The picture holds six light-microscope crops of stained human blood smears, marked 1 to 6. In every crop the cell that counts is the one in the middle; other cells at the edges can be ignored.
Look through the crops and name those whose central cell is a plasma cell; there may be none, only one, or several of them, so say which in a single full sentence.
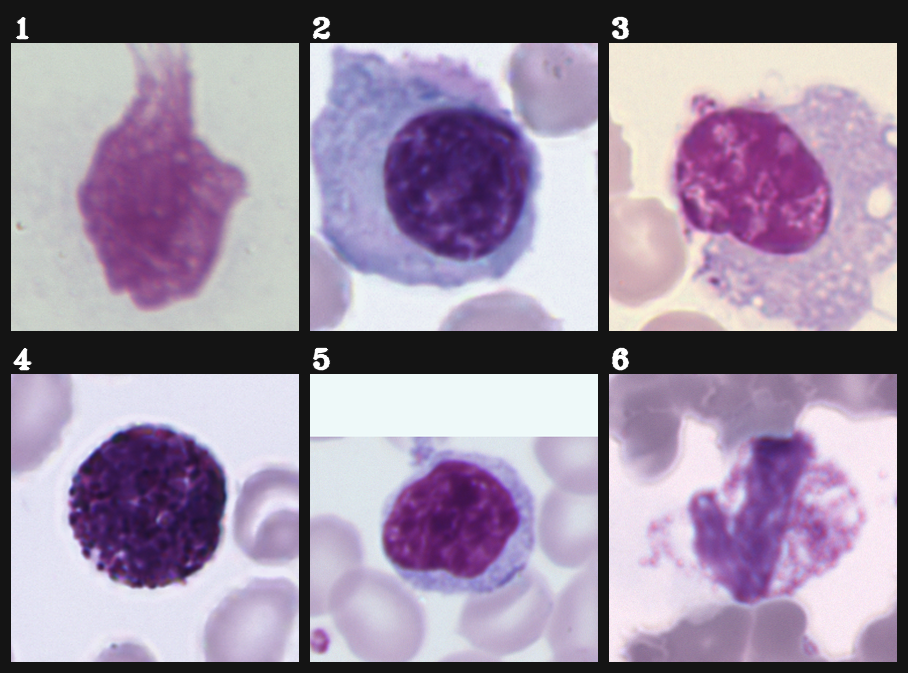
Crops 2 and 3 hold plasma cells in the centre of the field.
